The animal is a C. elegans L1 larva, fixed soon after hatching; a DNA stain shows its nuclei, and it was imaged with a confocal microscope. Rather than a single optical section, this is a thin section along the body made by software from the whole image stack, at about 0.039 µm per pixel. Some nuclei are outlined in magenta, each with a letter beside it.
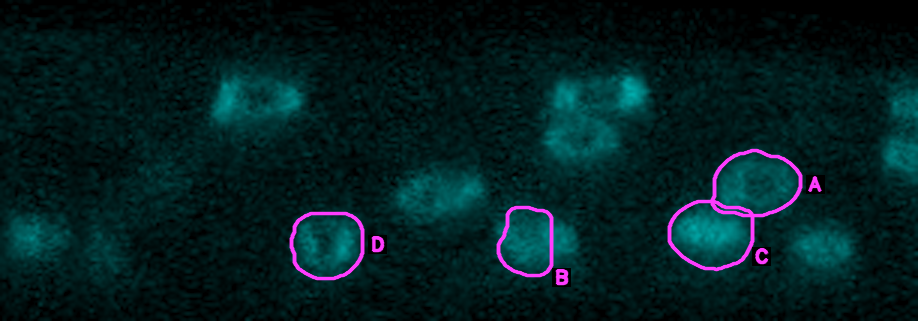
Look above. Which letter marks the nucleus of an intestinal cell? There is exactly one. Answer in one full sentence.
Nucleus A belongs to an intestinal cell.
